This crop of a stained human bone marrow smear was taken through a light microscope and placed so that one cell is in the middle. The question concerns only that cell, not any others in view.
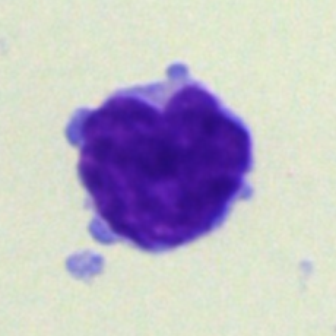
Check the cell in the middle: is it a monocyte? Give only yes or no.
no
